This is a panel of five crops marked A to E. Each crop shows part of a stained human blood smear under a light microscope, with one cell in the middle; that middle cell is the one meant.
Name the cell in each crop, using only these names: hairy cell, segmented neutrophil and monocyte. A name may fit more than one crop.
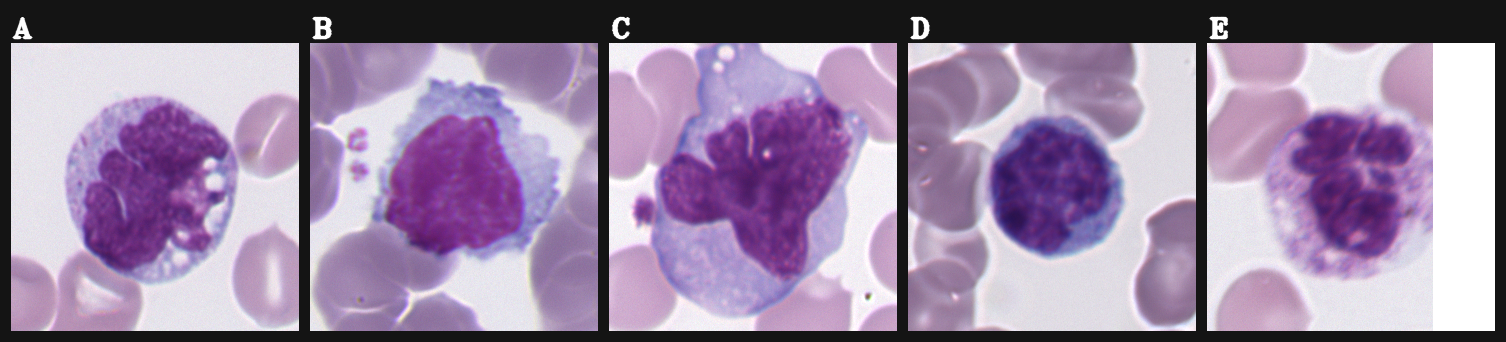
A: monocyte
B: monocyte
C: monocyte
D: monocyte
E: segmented neutrophil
